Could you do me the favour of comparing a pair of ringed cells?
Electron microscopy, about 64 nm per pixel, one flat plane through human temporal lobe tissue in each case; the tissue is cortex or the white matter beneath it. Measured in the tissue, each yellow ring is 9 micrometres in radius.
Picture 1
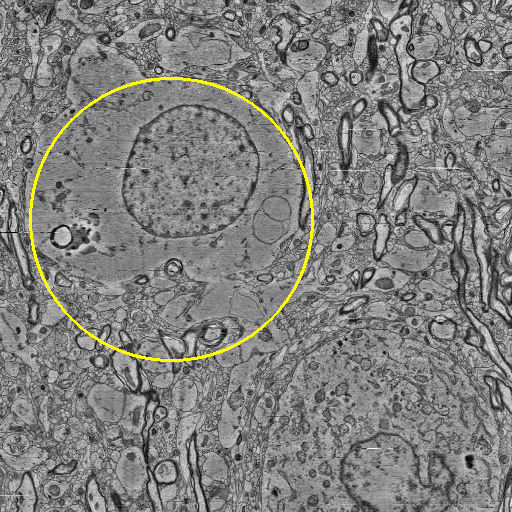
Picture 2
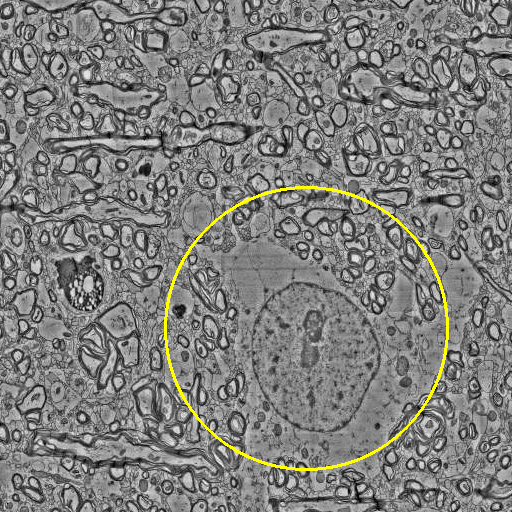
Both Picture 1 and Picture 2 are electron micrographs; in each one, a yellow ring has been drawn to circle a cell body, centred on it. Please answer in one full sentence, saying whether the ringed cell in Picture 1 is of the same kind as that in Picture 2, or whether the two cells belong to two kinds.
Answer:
The ringed cell in Picture 1 is of the same kind as that in Picture 2.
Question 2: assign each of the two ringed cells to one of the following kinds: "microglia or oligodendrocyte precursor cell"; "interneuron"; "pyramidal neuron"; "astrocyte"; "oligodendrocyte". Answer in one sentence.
Each one of the two ringed cells is an astrocyte.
